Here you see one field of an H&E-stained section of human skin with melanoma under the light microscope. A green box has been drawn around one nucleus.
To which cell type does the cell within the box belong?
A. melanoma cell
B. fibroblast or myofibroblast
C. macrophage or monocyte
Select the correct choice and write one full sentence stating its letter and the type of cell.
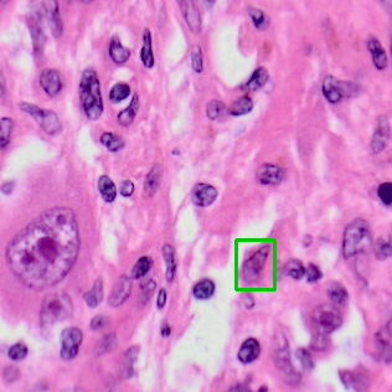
The correct choice is option C; the cell within the box is a macrophage or monocyte.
